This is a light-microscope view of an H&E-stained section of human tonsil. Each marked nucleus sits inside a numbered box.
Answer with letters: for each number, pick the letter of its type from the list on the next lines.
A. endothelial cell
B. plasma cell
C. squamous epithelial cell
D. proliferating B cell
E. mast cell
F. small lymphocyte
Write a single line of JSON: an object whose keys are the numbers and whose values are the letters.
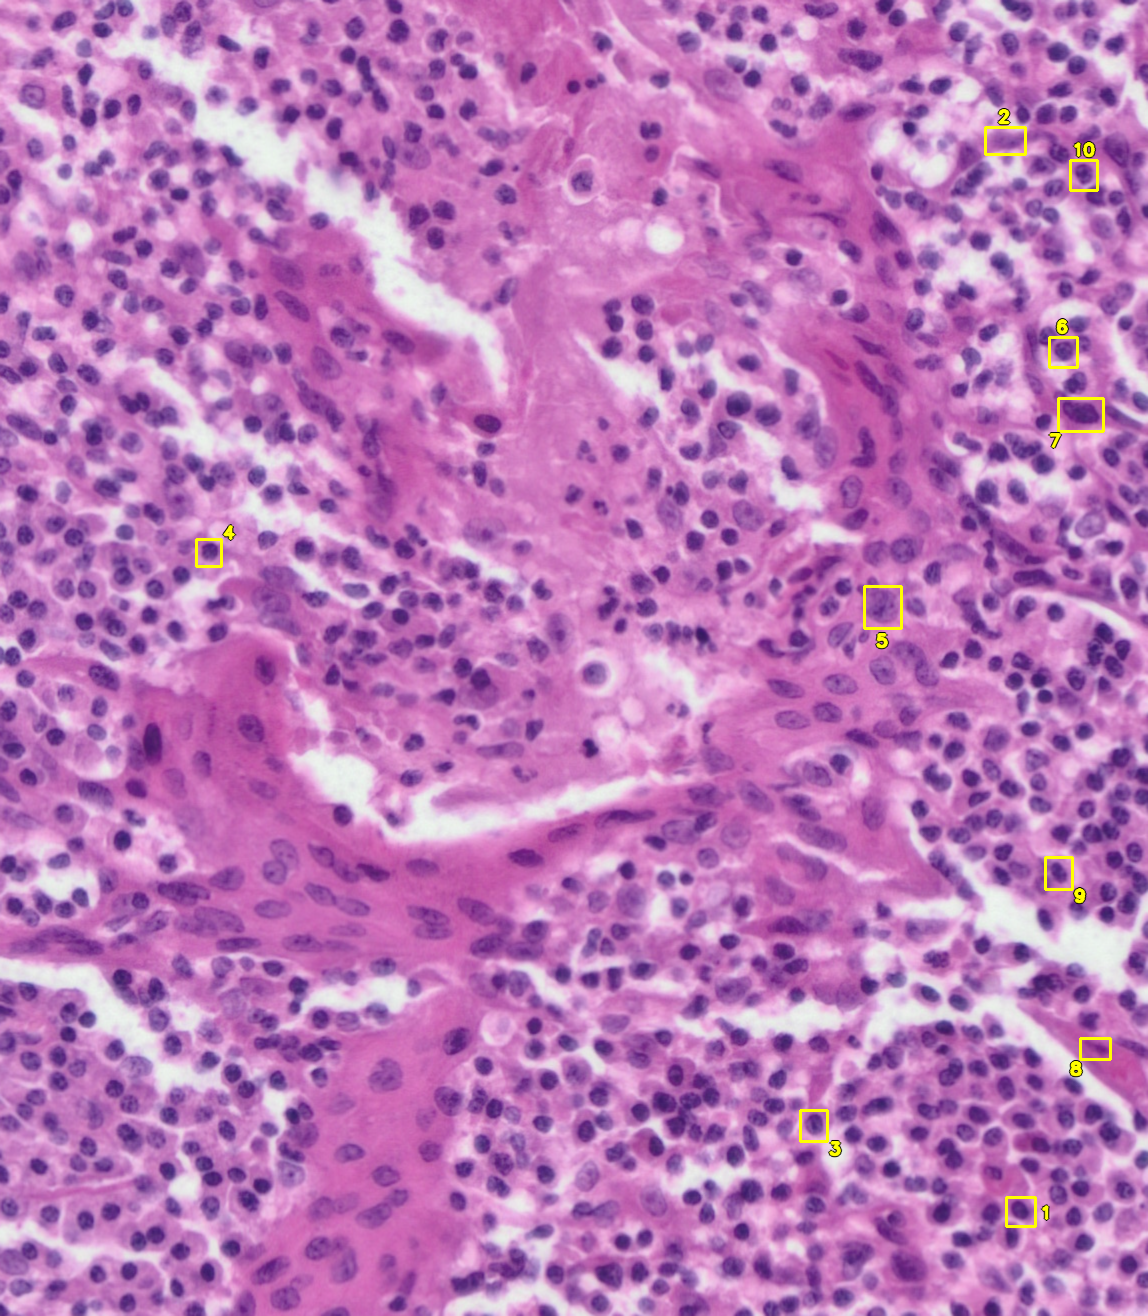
{"1": "B", "2": "C", "3": "B", "4": "B", "5": "C", "6": "B", "7": "C", "8": "C", "9": "B", "10": "B"}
